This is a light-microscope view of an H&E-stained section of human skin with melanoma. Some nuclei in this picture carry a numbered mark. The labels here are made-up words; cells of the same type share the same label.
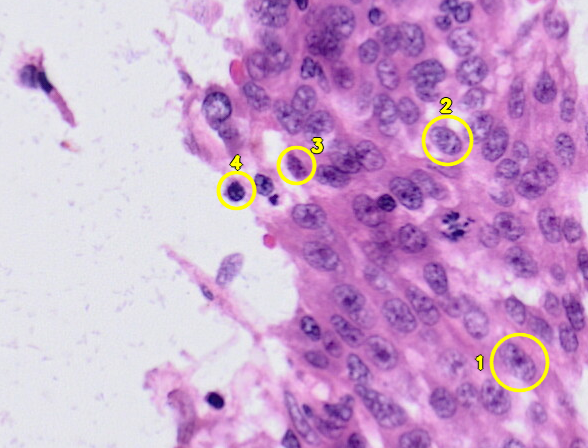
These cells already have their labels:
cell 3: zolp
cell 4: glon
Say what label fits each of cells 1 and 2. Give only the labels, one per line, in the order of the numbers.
zolp
zolp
